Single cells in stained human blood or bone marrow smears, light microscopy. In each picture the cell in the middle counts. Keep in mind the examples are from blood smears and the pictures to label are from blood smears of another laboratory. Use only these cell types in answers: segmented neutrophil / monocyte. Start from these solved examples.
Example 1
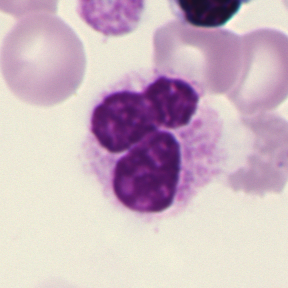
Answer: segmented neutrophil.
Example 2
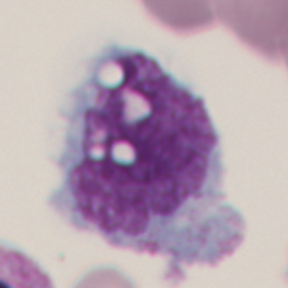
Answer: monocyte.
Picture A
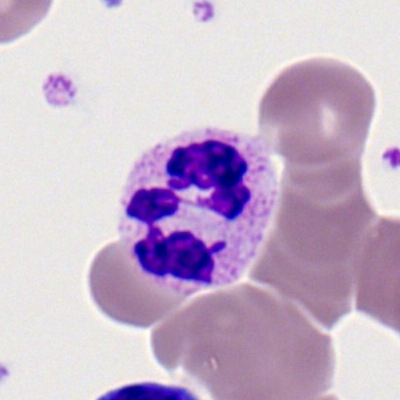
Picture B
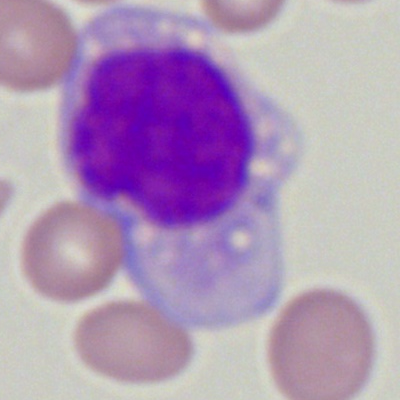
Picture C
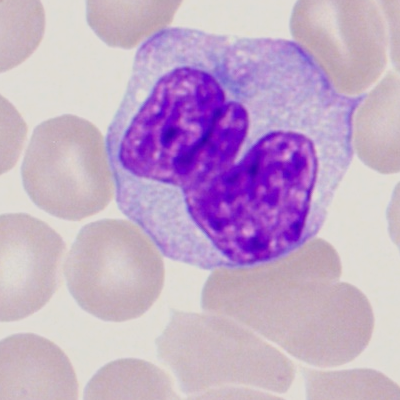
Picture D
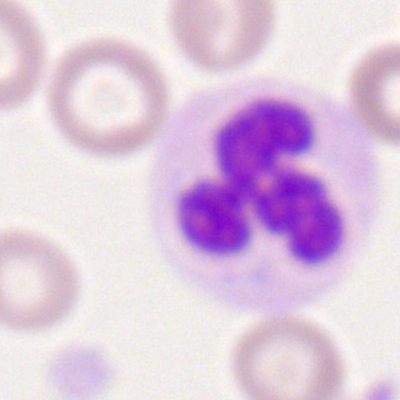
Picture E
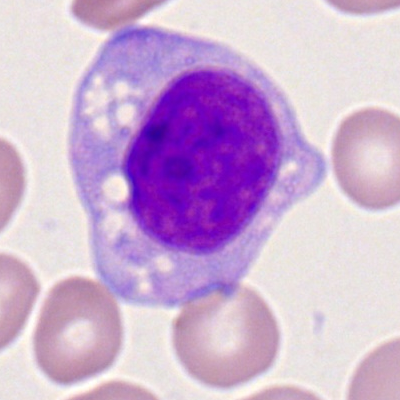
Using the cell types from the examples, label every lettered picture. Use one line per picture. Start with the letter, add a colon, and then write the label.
A: segmented neutrophil.
B: monocyte.
C: monocyte.
D: segmented neutrophil.
E: monocyte.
